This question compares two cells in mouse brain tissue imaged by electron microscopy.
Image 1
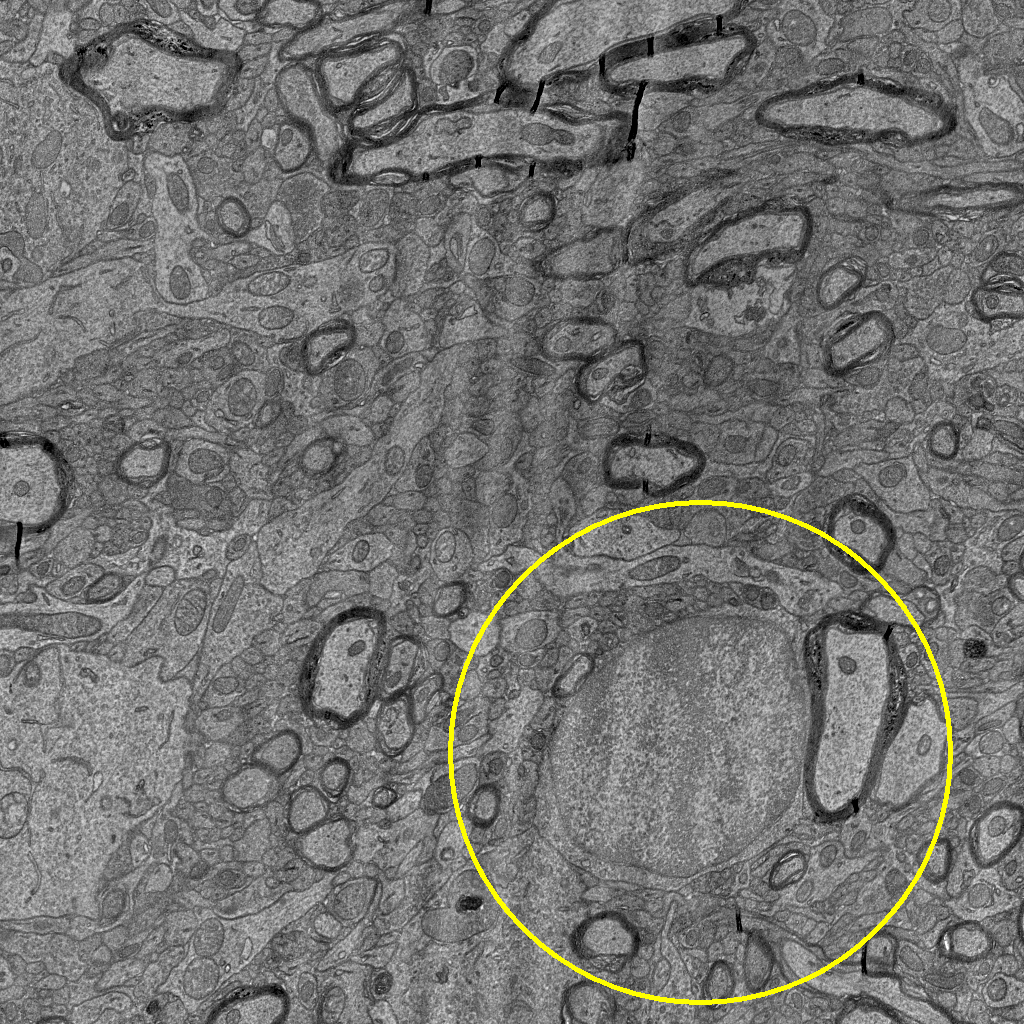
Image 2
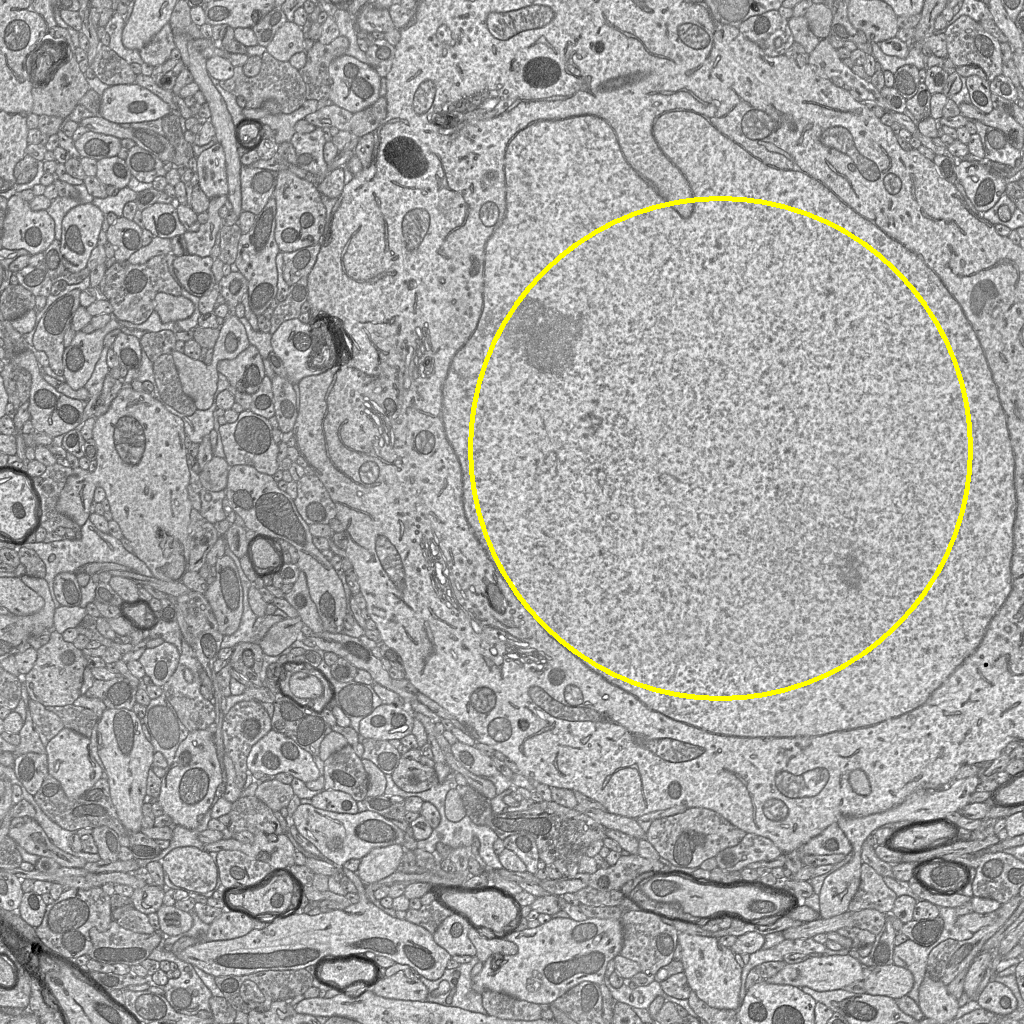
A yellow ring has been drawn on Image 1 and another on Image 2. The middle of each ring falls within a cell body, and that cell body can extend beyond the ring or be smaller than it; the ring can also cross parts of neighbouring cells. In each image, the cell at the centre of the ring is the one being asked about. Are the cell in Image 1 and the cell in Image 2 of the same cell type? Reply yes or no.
no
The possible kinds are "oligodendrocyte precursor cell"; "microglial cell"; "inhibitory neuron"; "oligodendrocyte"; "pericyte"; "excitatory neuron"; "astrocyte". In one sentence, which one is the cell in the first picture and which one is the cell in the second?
The first picture's cell is an oligodendrocyte, and the second picture's cell is an excitatory neuron.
